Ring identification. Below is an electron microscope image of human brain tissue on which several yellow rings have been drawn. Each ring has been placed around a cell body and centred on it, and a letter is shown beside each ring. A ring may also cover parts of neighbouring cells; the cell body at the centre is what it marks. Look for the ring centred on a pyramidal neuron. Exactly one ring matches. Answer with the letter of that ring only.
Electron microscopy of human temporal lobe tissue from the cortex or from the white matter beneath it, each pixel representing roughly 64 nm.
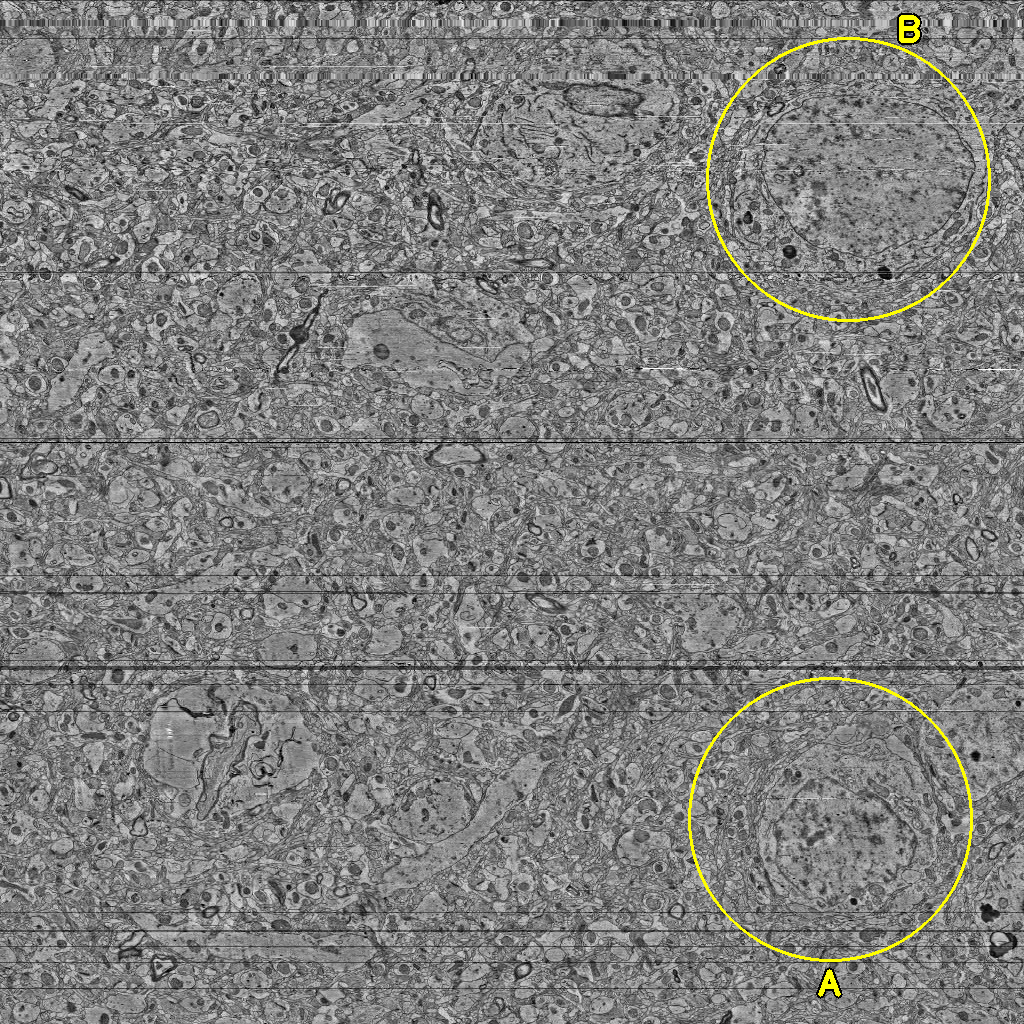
B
